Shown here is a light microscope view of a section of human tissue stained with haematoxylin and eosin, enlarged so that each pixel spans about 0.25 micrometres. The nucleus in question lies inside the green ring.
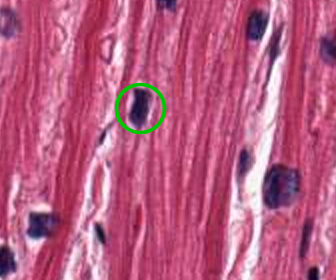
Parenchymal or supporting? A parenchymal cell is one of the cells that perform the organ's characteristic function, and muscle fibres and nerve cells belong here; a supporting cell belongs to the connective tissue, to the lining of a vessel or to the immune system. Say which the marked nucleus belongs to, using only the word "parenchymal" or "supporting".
parenchymal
